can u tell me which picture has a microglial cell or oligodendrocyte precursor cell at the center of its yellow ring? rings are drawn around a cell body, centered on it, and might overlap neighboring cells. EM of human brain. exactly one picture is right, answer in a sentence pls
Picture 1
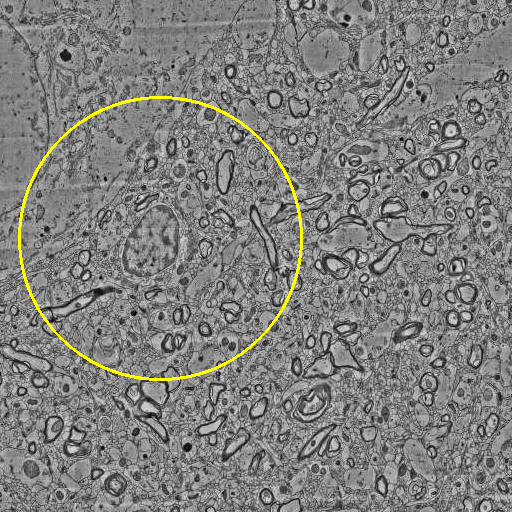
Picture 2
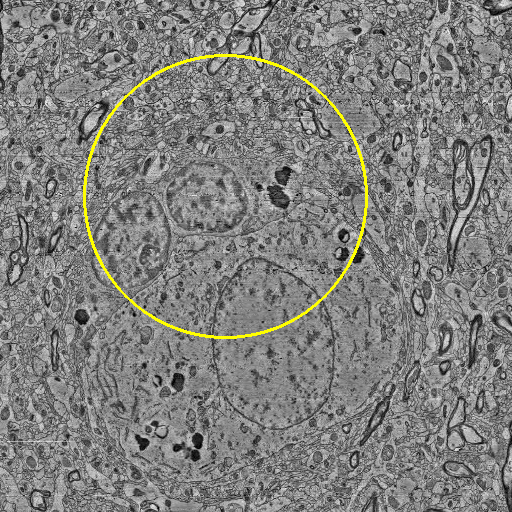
Picture 1 is the one.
